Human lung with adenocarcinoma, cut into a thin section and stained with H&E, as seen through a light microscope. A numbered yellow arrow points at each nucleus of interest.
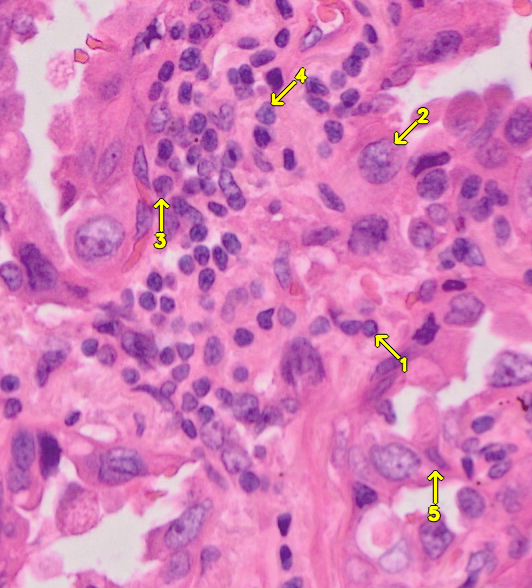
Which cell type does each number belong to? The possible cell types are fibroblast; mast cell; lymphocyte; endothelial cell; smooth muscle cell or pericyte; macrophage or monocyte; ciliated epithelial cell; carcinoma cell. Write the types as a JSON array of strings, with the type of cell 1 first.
["mast cell", "carcinoma cell", "lymphocyte", "lymphocyte", "carcinoma cell"]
